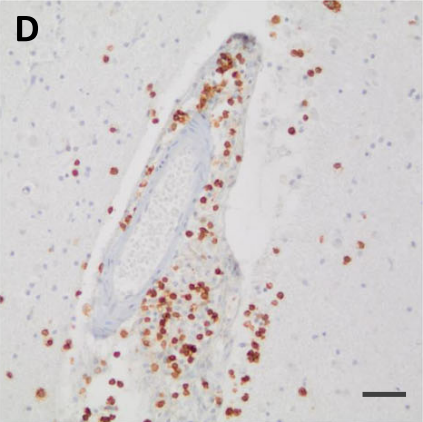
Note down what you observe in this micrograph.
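Many small round brown cells crowd in the space around the vessel wall, especially along one side. Others have moved out and lie scattered in the surrounding tissue. The vessel itself and the background nuclei stay pale blue and unstained.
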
